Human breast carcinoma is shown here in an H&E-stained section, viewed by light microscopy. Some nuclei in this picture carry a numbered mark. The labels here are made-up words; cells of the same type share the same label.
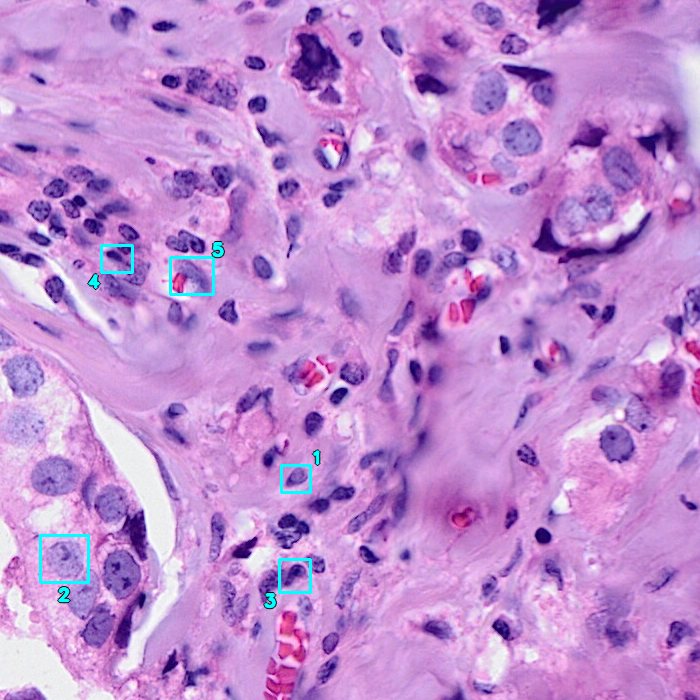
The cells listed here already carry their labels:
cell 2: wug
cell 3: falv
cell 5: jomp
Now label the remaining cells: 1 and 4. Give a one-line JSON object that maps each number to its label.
{"1": "falv", "4": "falv"}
